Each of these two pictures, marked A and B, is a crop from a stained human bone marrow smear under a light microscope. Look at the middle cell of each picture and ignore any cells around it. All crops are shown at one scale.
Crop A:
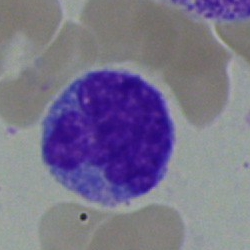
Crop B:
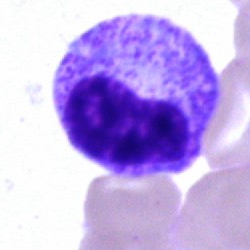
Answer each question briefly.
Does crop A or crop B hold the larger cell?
B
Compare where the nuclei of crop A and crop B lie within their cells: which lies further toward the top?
A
